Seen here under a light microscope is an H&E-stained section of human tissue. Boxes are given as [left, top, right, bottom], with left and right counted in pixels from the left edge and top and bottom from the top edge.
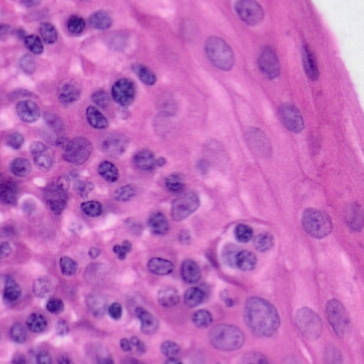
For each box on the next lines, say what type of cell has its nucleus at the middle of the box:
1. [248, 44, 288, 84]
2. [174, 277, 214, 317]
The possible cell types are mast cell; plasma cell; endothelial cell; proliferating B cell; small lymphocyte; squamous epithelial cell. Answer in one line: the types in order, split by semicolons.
squamous epithelial cell; plasma cell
